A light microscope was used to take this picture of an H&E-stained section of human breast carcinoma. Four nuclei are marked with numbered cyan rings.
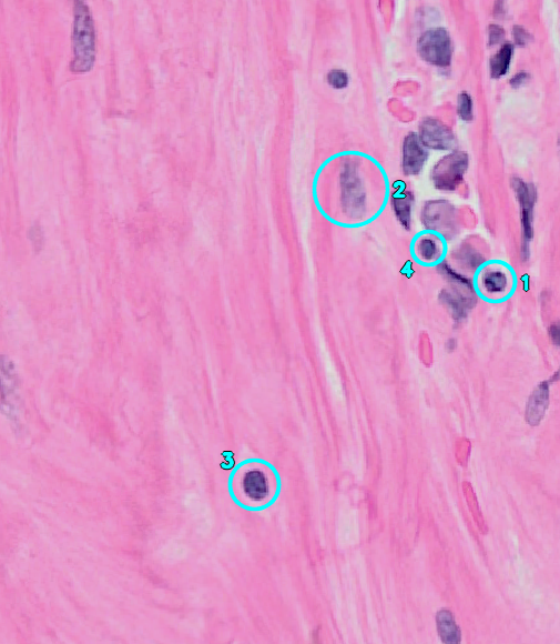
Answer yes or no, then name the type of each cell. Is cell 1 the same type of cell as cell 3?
Yes, with respect to identity, cells 1 and 3 are both lymphocytes.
